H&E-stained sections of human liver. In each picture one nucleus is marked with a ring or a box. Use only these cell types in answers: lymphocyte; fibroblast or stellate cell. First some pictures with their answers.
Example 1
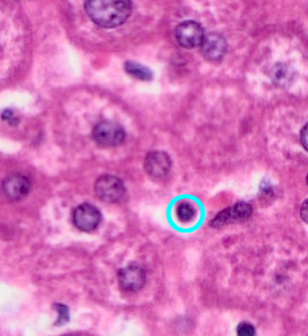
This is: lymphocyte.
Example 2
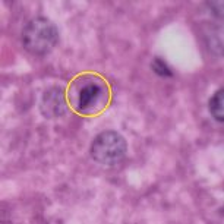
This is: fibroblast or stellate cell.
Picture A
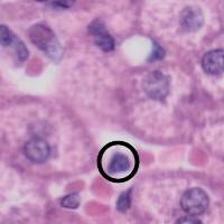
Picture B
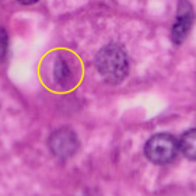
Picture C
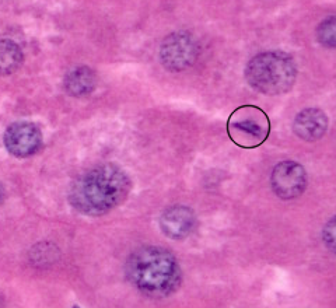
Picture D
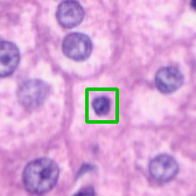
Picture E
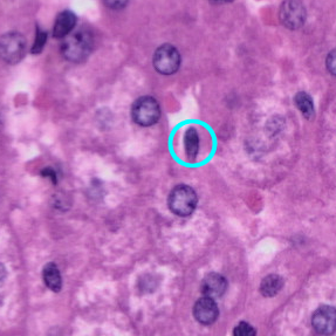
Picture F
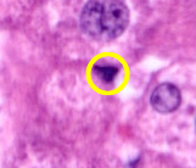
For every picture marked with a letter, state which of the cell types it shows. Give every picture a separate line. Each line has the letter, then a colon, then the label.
A: lymphocyte.
B: fibroblast or stellate cell.
C: fibroblast or stellate cell.
D: lymphocyte.
E: lymphocyte.
F: fibroblast or stellate cell.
